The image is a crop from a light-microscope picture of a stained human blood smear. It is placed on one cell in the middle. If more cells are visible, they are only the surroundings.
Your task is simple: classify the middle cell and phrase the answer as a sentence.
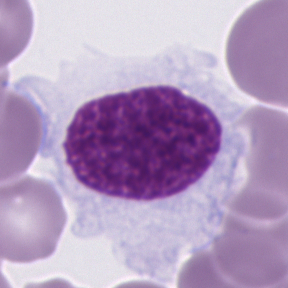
As for the central cell, it is a hairy cell.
